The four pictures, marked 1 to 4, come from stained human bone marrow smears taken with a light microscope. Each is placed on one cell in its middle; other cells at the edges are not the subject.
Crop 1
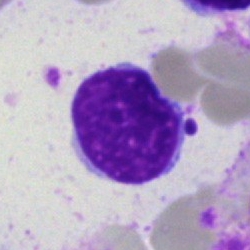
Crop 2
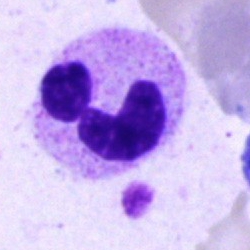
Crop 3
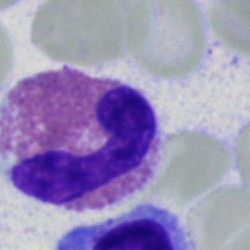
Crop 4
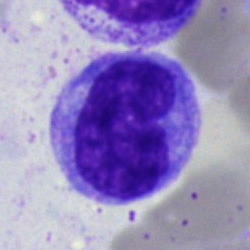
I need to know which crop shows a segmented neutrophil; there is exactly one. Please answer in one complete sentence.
The crop bearing a segmented neutrophil is crop 2.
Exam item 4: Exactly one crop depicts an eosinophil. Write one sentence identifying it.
Of all the crops, crop 3 is the one showing an eosinophil.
